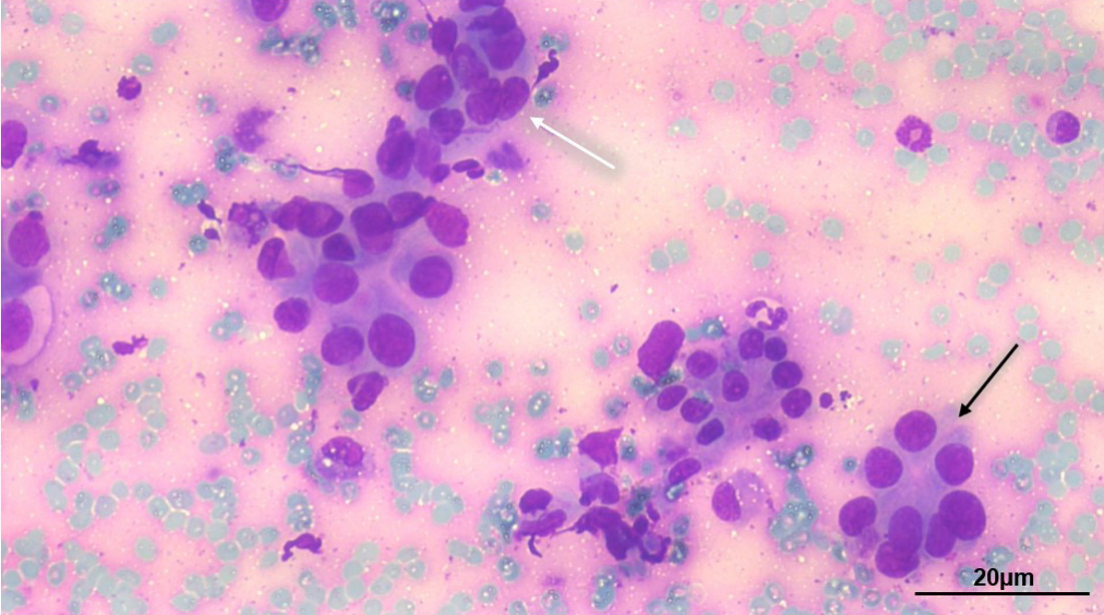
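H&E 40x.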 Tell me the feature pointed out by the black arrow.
Acinar arrangement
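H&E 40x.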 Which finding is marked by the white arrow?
nuclear molding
